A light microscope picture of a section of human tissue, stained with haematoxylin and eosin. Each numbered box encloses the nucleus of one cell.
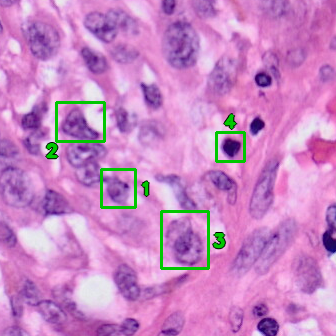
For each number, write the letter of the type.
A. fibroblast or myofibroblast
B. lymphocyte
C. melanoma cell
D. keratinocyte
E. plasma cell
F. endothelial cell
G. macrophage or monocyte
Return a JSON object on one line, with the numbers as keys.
{"1": "C", "2": "C", "3": "C", "4": "E"}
